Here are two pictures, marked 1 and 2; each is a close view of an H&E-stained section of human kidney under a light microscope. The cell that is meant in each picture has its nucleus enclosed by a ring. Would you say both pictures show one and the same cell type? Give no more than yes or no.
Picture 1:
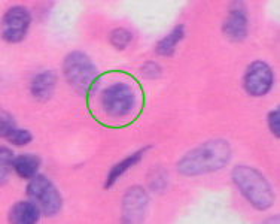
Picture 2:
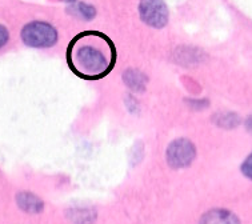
no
